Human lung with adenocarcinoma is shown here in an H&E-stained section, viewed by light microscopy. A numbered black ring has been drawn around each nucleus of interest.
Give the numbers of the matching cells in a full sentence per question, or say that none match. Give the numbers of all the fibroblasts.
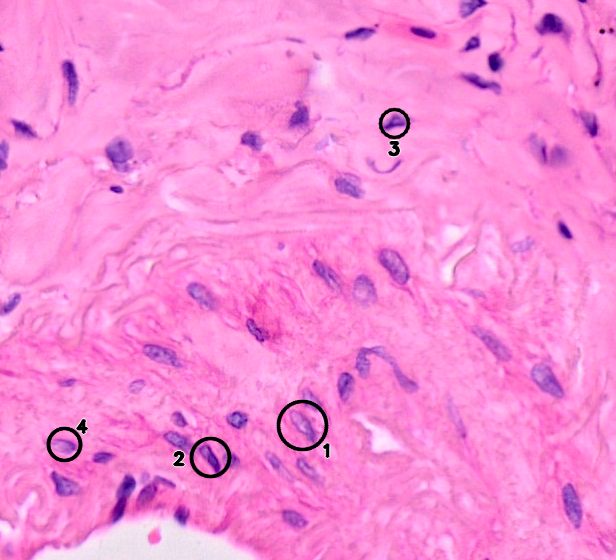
Cell 3 is a fibroblast; the remaining numbered cells are not.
